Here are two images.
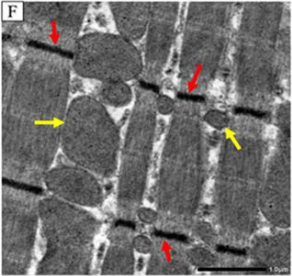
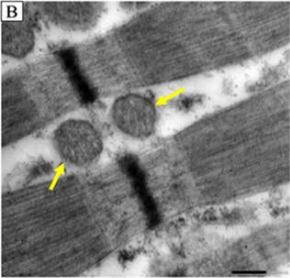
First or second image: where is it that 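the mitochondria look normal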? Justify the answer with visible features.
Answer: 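The second image. First image: mitochondria are large, ovoid and unequal in size, crowding between the fibrils. Second image: mitochondria are small and round with clear cristae.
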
